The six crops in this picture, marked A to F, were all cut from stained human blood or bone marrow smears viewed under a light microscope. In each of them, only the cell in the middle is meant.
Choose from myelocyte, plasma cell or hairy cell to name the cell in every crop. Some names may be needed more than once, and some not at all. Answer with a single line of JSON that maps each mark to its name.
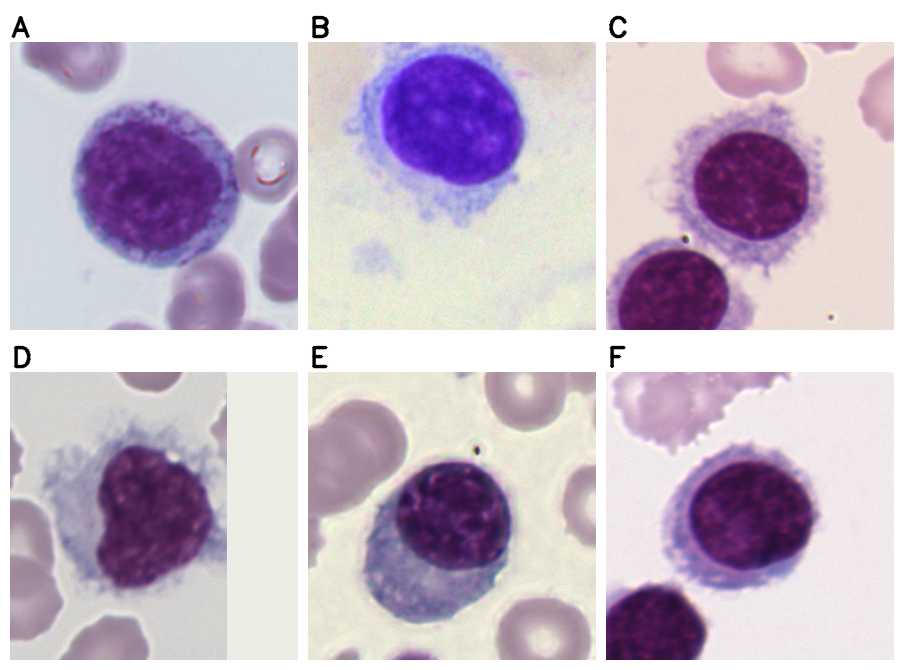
{"A": "myelocyte", "B": "hairy cell", "C": "hairy cell", "D": "hairy cell", "E": "plasma cell", "F": "hairy cell"}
